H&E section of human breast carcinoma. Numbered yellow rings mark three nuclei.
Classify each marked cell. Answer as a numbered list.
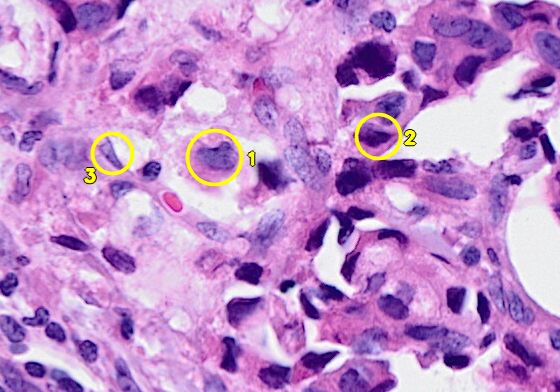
1. carcinoma cell
2. carcinoma cell
3. fibroblast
